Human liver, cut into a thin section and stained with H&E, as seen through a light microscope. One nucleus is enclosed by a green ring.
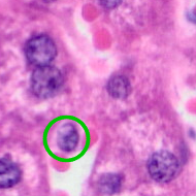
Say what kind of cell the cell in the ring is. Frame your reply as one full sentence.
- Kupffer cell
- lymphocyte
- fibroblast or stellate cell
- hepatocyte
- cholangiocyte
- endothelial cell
Considered by cell type, the cell in the ring is a Kupffer cell.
